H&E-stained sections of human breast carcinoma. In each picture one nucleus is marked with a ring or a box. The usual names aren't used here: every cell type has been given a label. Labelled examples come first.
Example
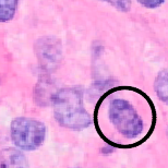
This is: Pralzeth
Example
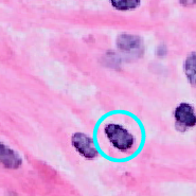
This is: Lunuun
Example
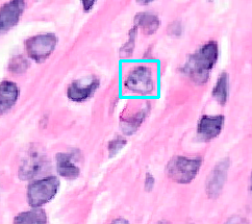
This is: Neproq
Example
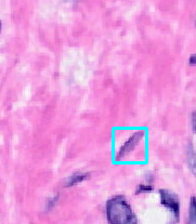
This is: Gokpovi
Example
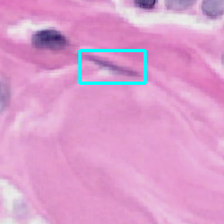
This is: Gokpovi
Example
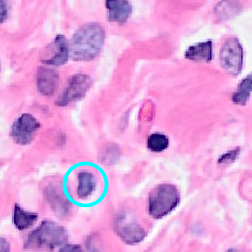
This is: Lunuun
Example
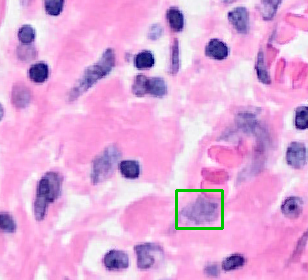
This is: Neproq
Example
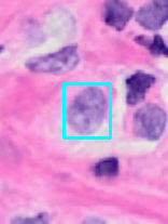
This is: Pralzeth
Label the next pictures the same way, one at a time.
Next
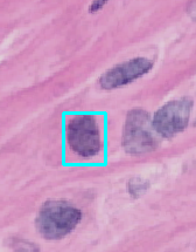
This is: Pralzeth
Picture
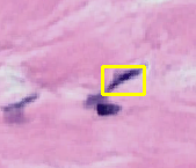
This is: Gokpovi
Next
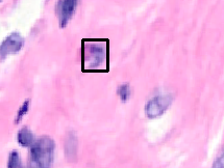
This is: Neproq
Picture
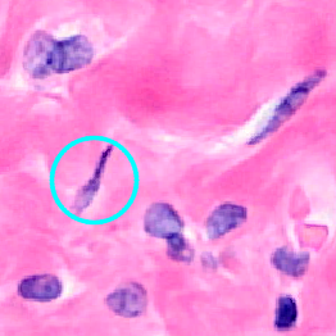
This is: Gokpovi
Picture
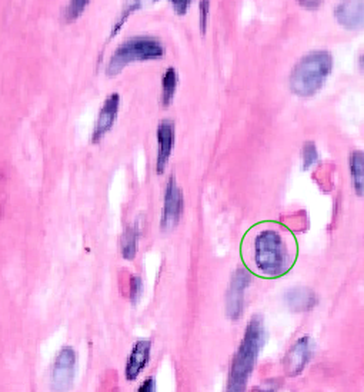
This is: Neproq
